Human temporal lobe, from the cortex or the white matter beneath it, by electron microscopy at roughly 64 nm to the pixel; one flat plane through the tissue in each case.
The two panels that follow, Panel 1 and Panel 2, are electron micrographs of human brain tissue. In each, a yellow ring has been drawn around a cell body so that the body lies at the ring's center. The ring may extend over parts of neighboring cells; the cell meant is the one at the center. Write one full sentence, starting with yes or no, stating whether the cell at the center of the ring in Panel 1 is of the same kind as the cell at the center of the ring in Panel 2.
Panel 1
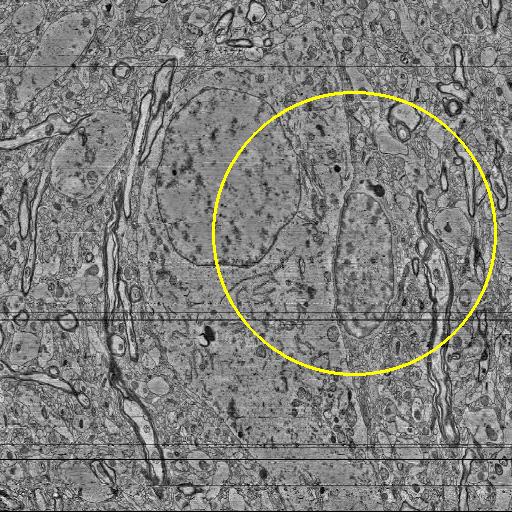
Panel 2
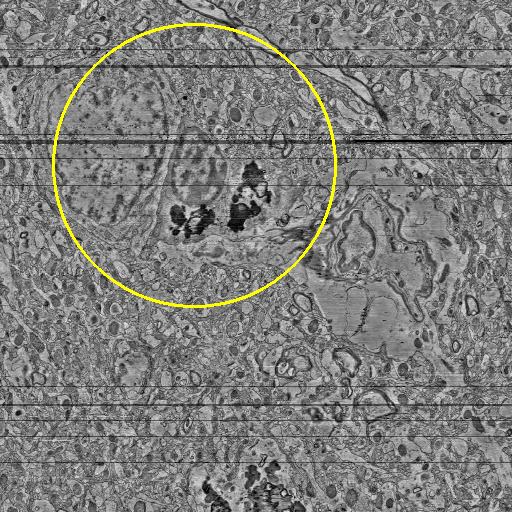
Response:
Yes, the cells in both panels are of the same kind.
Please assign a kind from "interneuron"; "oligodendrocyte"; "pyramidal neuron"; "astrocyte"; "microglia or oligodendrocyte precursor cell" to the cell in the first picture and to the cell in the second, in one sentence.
Each cell at the centre of a ring is an oligodendrocyte.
